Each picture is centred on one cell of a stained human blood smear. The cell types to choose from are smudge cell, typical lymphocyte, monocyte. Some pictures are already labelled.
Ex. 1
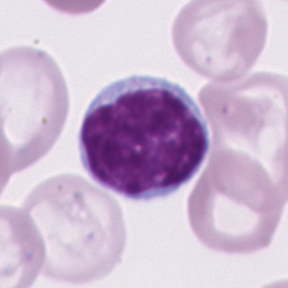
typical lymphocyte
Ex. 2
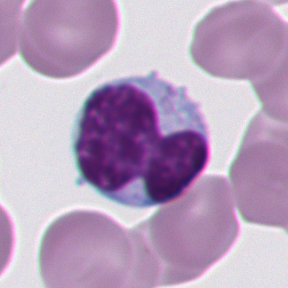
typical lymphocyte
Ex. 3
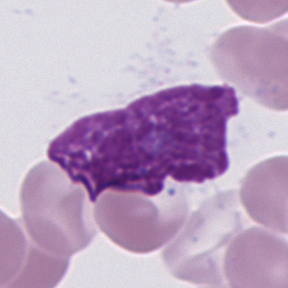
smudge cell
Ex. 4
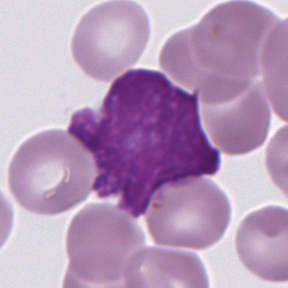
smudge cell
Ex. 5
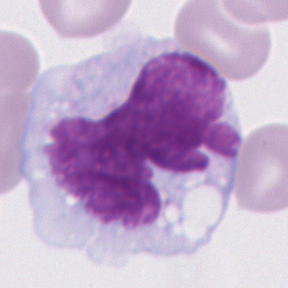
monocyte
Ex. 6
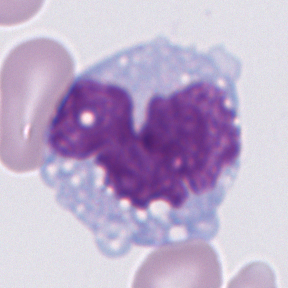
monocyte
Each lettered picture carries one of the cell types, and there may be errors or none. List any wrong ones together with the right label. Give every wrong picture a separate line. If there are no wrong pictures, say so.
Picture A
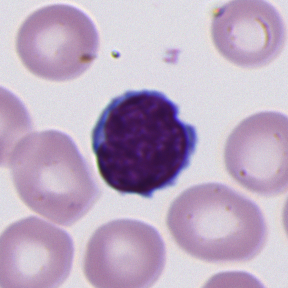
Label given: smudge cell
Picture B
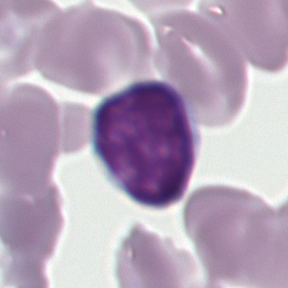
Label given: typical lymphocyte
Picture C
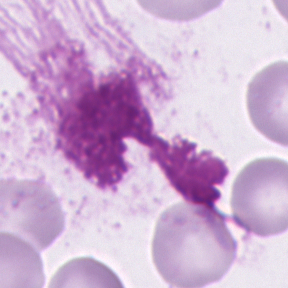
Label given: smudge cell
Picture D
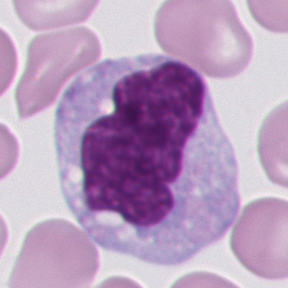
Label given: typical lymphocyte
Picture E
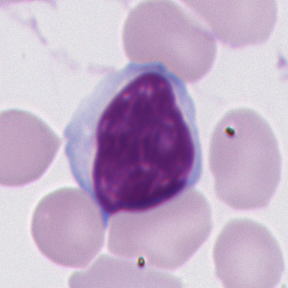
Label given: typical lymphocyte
A: typical lymphocyte, not smudge cell
D: monocyte, not typical lymphocyte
